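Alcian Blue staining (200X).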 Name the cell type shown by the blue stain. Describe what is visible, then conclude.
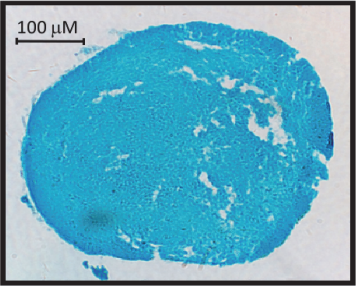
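A compact, roughly round mass of tissue is stained blue throughout. The blue stain fills the whole mass rather than only single scattered cells. The answer: chondrocytes.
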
